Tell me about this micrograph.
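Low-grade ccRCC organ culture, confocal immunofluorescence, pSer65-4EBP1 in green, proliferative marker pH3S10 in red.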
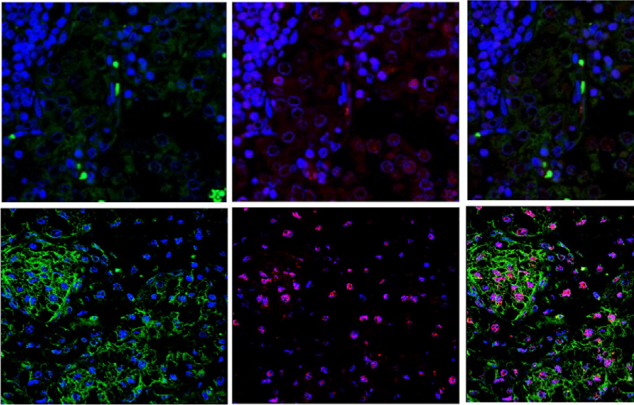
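In the lower row, green fills the cytoplasm of many cells, outlining clusters and sheets of tumor cells as a dense meshwork around the nuclei. Many nuclei in this row carry bright red to magenta speckled staining. In the merged image these red-speckled nuclei sit inside or beside the green-rimmed cells.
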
